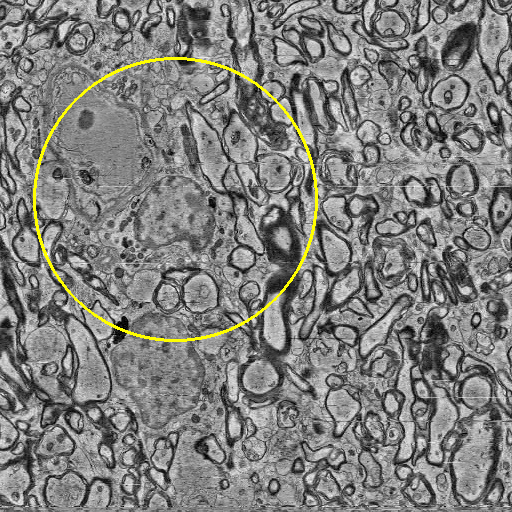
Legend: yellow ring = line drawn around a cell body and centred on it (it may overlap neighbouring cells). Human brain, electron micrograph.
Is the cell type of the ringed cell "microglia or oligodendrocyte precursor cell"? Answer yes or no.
yes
